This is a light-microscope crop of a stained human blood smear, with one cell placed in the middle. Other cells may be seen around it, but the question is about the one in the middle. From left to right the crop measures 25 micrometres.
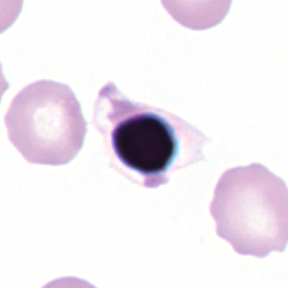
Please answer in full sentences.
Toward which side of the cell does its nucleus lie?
Toward the lower right of the cell lies its nucleus.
